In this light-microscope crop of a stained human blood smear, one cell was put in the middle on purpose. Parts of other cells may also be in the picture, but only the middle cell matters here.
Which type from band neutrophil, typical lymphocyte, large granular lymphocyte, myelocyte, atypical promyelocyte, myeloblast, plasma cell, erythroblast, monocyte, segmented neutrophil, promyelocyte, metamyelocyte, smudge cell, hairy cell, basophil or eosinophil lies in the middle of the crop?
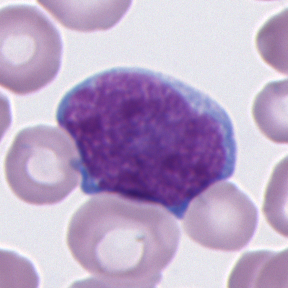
myeloblast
